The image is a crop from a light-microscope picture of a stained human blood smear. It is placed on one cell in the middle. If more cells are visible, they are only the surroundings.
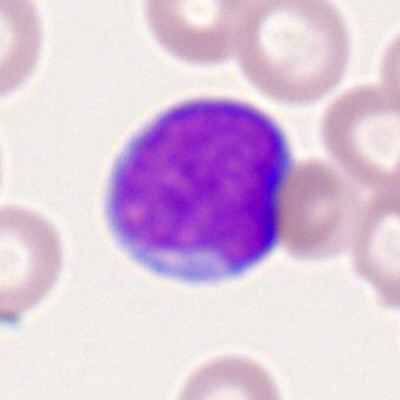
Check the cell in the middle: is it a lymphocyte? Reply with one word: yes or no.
no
